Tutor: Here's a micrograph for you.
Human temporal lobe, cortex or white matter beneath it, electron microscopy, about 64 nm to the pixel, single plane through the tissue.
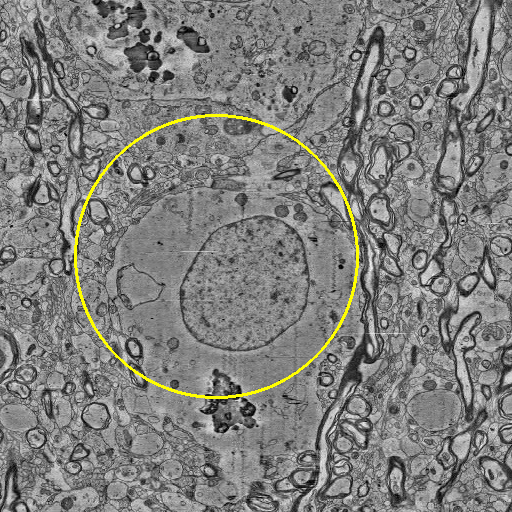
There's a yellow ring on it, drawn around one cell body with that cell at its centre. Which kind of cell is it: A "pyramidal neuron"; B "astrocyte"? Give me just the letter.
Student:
B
